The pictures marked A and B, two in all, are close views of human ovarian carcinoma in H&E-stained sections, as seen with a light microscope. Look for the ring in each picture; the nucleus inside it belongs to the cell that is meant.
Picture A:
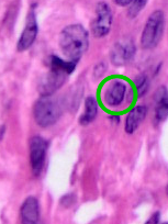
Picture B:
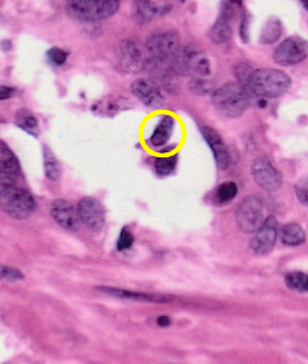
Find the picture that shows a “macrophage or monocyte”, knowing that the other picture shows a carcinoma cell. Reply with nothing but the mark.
A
